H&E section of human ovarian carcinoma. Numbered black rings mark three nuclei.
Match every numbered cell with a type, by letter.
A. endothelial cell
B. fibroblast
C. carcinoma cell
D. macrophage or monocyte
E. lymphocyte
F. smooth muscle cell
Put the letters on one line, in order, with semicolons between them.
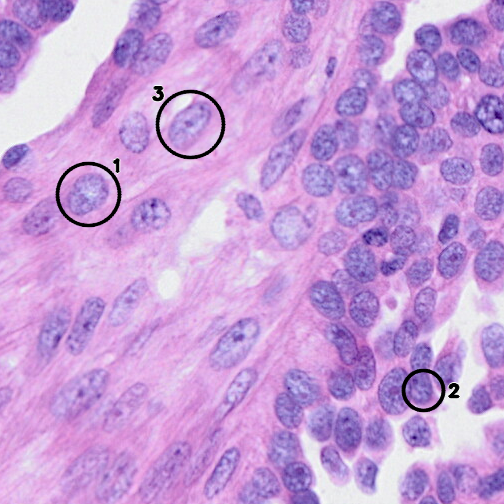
B; C; B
